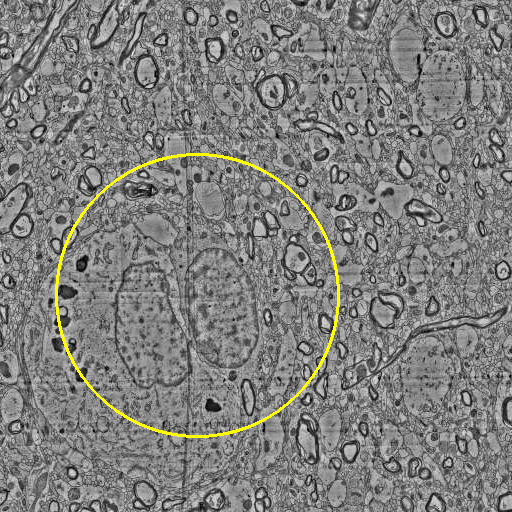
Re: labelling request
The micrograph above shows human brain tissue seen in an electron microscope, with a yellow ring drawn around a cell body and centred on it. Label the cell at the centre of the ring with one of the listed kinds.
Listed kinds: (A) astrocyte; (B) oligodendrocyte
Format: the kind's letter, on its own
B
